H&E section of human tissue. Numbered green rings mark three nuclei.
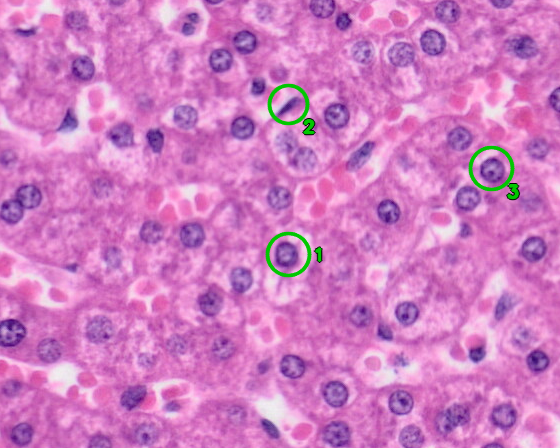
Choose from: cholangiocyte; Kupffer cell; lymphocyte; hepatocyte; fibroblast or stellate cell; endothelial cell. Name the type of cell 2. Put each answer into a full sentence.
The cell that is numbered 2 is an endothelial cell.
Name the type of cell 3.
Denoted by the label 3 in the section is a hepatocyte.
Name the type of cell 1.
Cell 1 of the marked set is a hepatocyte.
